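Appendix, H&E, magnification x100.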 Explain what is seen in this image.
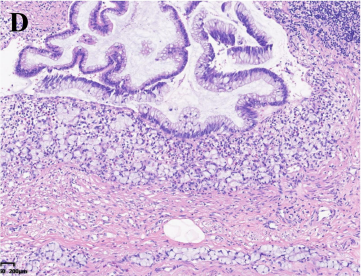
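At the top a folded, undulating layer of tall columnar mucinous epithelium with purple basal nuclei lines a lumen holding pale mucin. Beneath it, the wall is crowded with small nests of pale, bubbly, mucin-filled cells set in pink stroma, with a band of denser pink fibrous tissue below. This is a low-grade appendiceal mucinous neoplasia lying directly adjacent to goblet cell adenocarcinoma infiltrating the wall.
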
